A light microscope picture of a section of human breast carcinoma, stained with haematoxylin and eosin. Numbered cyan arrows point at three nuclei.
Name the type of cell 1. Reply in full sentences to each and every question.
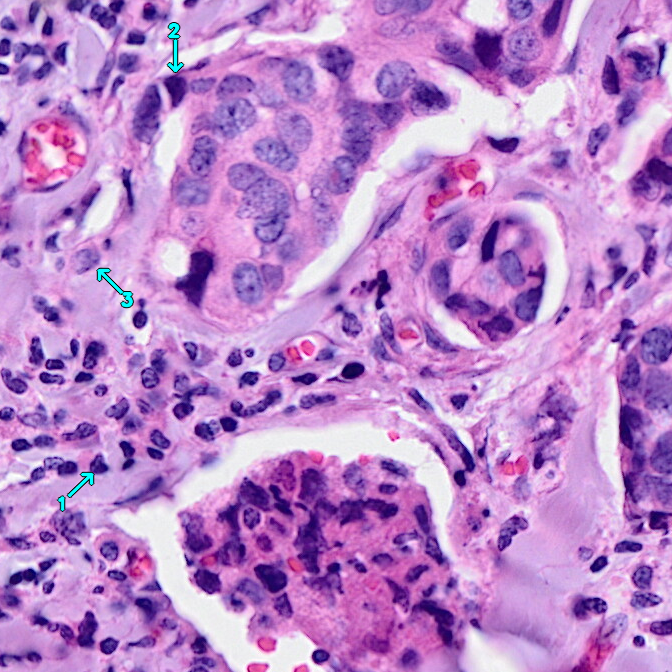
The expected answer is that cell 1 is a lymphocyte.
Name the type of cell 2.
Nucleus 2 in this section belongs to a carcinoma cell.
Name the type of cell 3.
Cell 3 in the field of view is a macrophage, monocyte or dendritic cell.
